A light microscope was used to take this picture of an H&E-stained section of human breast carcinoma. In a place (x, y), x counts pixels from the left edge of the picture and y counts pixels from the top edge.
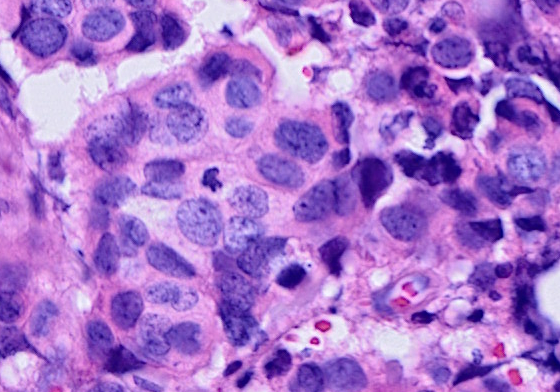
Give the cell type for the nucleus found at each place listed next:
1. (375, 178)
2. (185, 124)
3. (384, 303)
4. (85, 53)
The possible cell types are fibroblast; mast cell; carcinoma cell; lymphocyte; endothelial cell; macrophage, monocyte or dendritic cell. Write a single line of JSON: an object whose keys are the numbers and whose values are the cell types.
{"1": "carcinoma cell", "2": "carcinoma cell", "3": "endothelial cell", "4": "carcinoma cell"}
